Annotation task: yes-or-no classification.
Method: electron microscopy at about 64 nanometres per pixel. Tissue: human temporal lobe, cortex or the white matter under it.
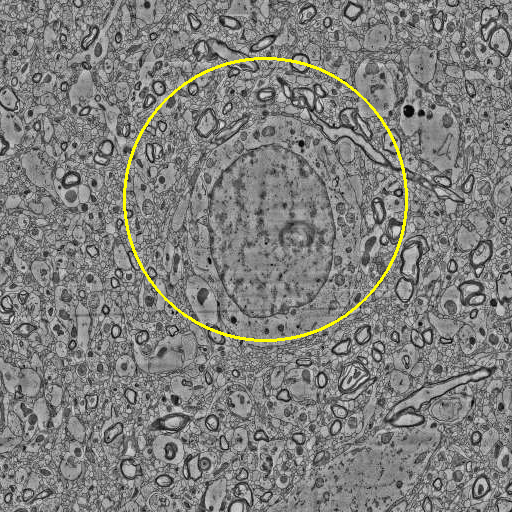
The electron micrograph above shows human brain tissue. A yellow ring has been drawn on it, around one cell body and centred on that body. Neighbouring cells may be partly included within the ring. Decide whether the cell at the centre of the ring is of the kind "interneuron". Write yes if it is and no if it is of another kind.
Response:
yes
